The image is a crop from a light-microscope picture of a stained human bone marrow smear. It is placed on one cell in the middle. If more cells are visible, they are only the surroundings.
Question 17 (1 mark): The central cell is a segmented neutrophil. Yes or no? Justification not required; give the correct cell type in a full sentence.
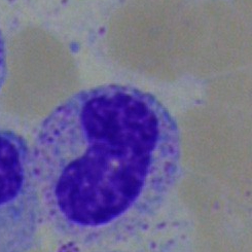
No, the central cell is classed as a band neutrophil, not a segmented neutrophil.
